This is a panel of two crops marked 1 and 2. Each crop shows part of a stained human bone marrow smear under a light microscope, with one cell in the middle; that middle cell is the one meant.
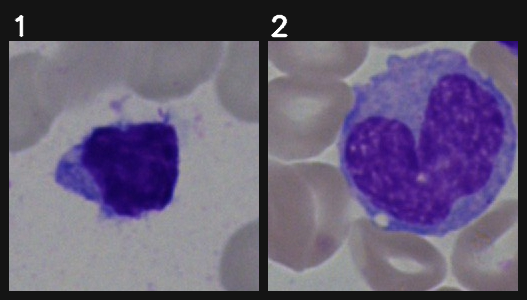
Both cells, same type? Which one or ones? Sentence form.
No, on this set crop 1 shows a lymphocyte and crop 2 shows a monocyte.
